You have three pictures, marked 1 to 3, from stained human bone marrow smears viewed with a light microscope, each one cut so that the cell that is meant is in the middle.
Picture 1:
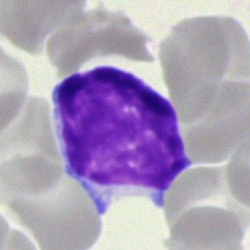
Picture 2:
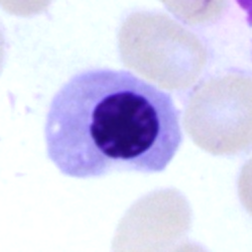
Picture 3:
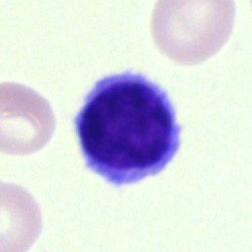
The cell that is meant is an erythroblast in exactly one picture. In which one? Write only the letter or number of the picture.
2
